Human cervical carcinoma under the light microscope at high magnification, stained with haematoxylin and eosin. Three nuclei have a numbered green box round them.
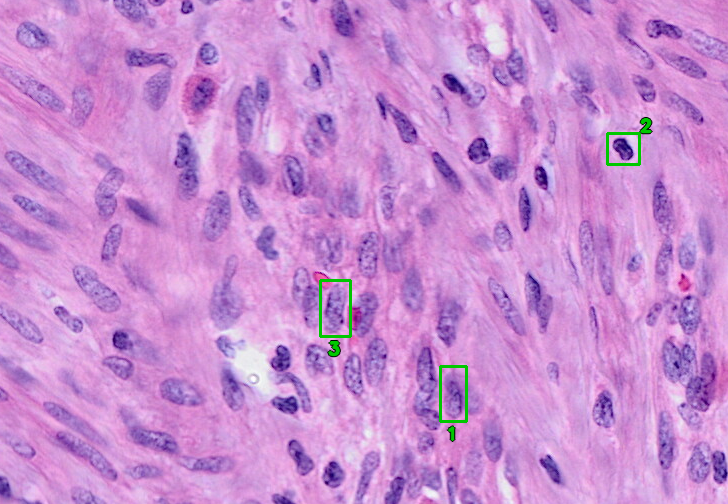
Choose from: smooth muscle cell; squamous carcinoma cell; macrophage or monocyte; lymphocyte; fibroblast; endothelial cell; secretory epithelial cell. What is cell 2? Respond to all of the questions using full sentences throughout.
The marked cell bearing number 2 is a lymphocyte.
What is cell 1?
The cell bearing label 1 corresponds to an endothelial cell.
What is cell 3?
Classified as an endothelial cell is the cell with the number 3.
